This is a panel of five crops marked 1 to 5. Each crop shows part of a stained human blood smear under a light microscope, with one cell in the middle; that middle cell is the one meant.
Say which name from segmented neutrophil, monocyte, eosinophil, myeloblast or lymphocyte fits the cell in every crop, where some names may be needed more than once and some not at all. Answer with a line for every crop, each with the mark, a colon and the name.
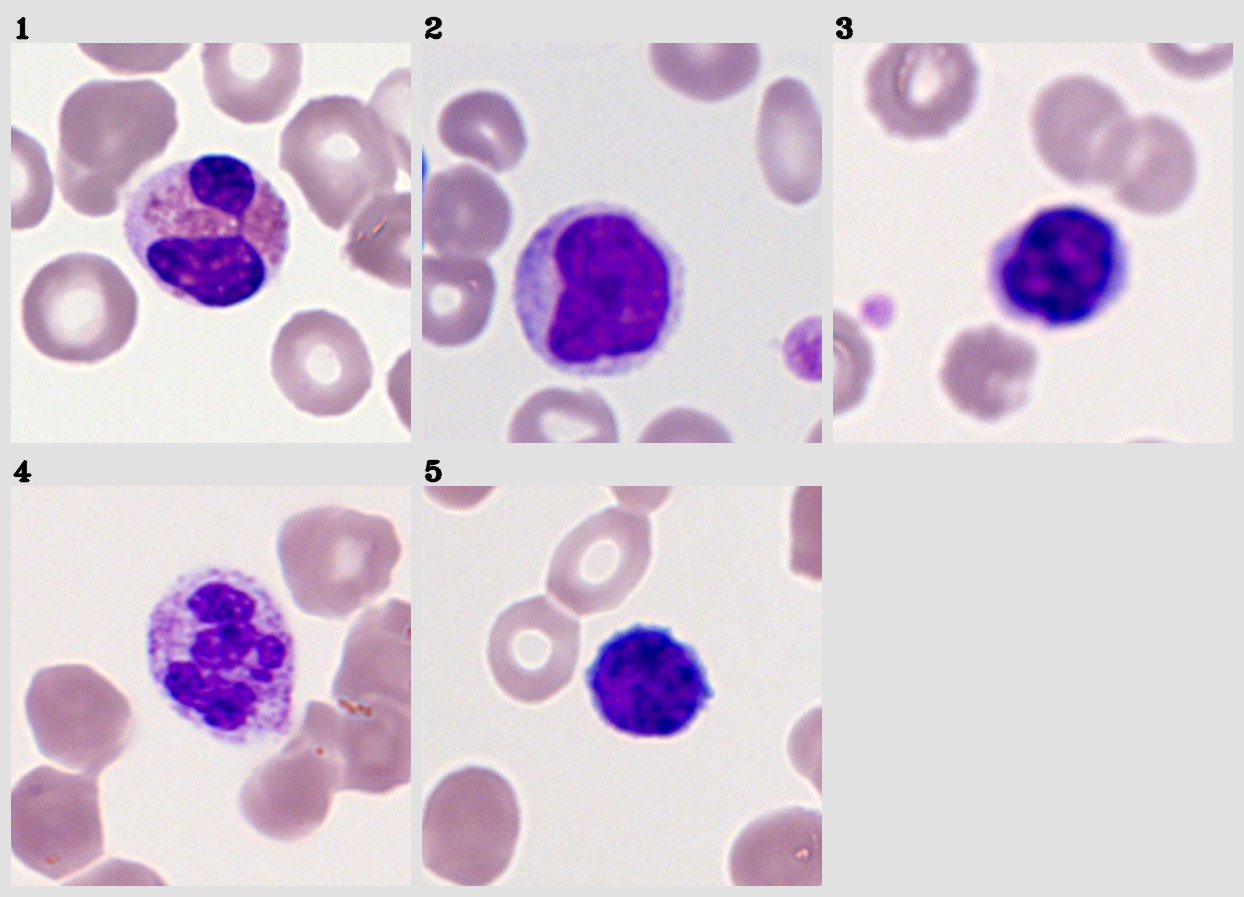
1: eosinophil
2: lymphocyte
3: lymphocyte
4: segmented neutrophil
5: lymphocyte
